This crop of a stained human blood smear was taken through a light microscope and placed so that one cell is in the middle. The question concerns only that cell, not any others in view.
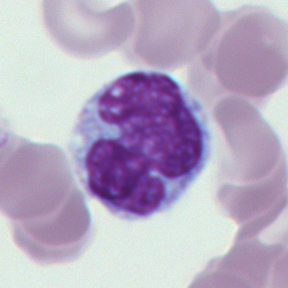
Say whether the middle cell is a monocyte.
yes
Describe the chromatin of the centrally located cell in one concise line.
The nucleus shows chromatin that is coarsely clumped.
